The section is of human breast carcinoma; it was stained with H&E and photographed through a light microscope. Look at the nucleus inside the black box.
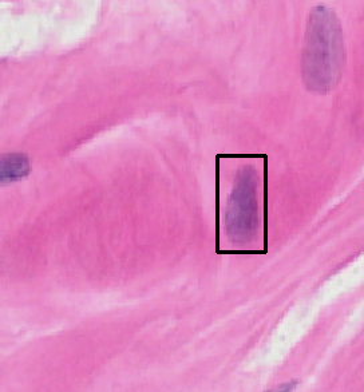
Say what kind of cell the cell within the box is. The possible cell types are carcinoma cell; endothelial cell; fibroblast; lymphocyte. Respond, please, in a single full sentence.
In this section of tissue, the cell within the box is a fibroblast.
